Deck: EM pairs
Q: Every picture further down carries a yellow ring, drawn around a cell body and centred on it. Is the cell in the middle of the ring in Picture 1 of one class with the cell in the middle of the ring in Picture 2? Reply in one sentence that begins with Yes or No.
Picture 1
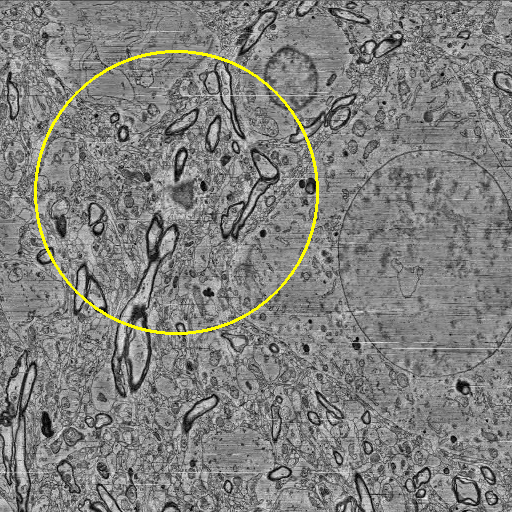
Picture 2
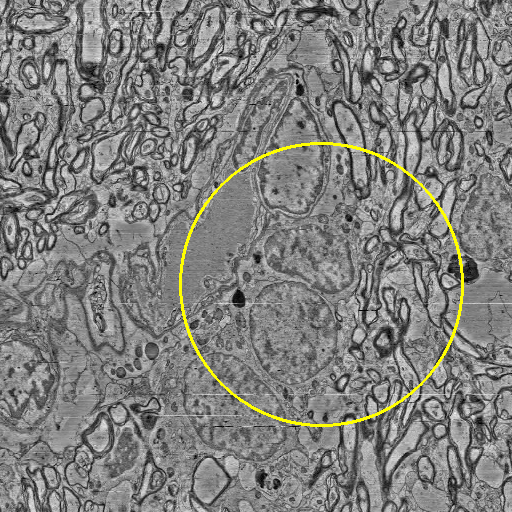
No, the cell centred in the ring of Picture 1 and the one in Picture 2 belong to separate classes.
